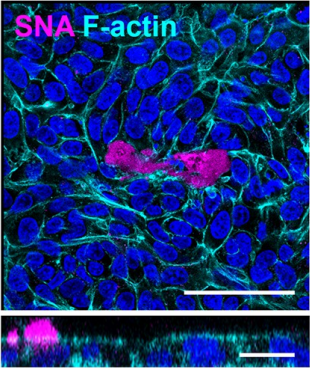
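This is a continuous single layer of epithelial cells seen from above, with a side view below. Cyan stain lines the cell borders around oval blue nuclei, outlining closely packed polygonal cells. In the side view the magenta sits at the upper surface of the layer.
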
